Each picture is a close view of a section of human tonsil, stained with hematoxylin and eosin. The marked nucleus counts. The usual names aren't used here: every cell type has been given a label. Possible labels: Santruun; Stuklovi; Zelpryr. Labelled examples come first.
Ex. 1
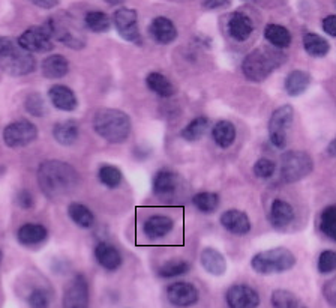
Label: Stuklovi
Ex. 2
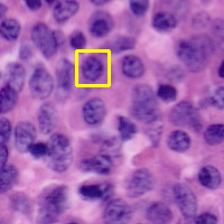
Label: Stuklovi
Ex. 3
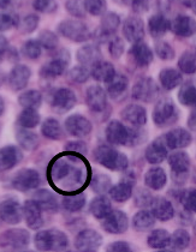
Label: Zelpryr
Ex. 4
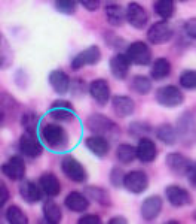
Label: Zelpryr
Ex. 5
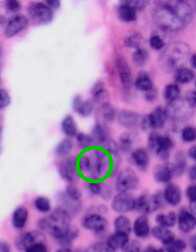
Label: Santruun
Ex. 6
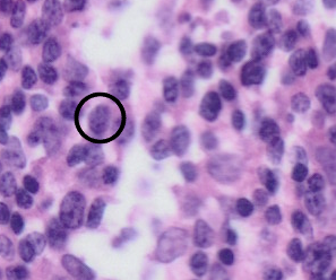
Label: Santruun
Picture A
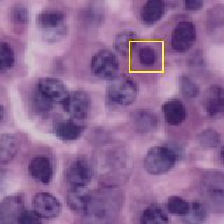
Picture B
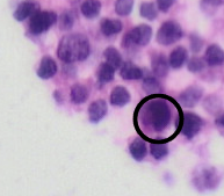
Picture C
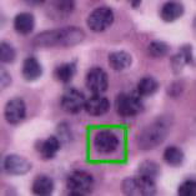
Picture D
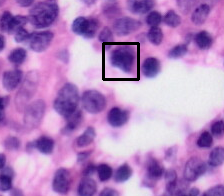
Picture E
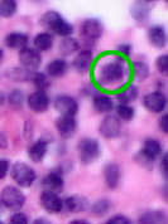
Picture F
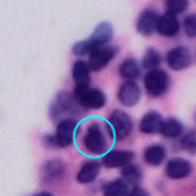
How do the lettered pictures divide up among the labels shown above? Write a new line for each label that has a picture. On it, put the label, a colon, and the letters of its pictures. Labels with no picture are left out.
Santruun: B, D
Stuklovi: A, C
Zelpryr: E, F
